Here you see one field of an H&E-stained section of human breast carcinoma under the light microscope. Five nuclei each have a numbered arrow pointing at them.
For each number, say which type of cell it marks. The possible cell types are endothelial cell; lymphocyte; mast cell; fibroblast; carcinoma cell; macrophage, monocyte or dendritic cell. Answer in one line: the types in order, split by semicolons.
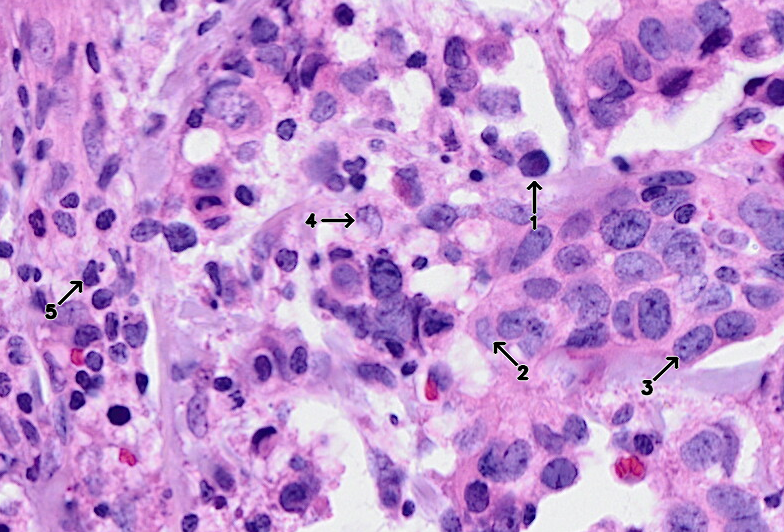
carcinoma cell; carcinoma cell; carcinoma cell; macrophage, monocyte or dendritic cell; lymphocyte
